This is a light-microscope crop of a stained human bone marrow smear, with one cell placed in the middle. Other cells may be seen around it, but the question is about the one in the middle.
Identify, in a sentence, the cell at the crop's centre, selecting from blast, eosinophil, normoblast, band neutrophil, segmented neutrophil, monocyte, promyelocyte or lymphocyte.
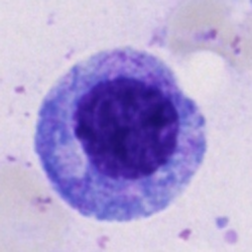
What the crop centres on is a promyelocyte.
